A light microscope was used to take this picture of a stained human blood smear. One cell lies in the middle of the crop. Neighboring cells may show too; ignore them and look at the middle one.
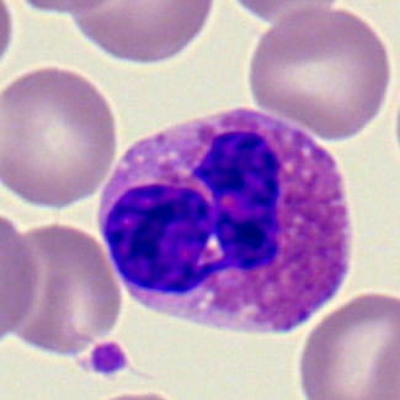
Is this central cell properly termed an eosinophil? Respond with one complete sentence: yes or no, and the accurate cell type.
Yes, that middle cell in the crop is an eosinophil.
